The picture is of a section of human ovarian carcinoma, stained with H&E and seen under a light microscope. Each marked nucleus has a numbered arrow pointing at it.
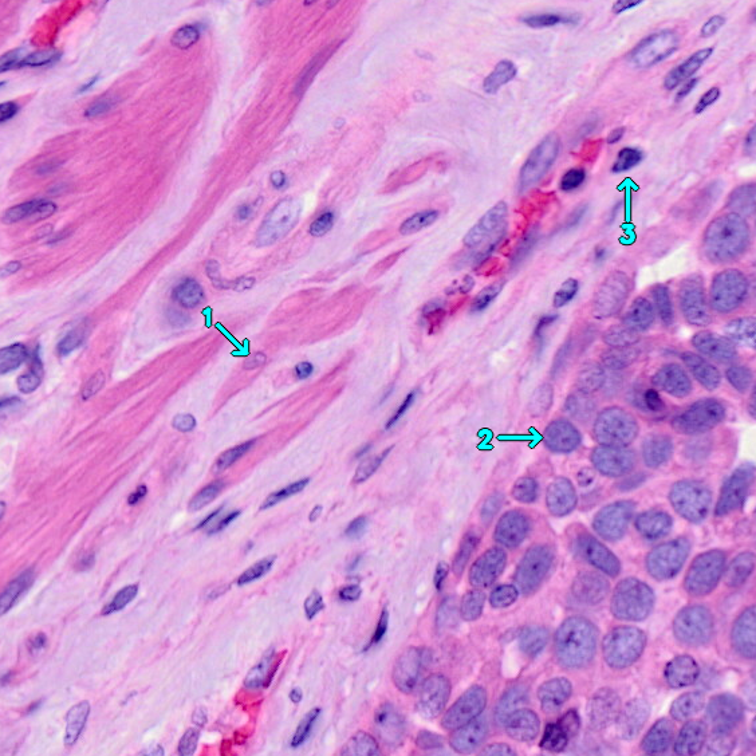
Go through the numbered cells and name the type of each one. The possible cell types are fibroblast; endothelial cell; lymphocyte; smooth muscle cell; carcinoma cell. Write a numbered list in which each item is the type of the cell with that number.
1. smooth muscle cell
2. carcinoma cell
3. lymphocyte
